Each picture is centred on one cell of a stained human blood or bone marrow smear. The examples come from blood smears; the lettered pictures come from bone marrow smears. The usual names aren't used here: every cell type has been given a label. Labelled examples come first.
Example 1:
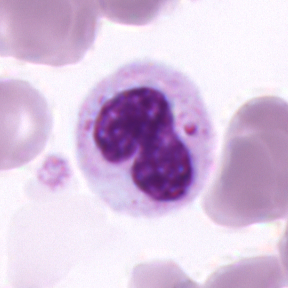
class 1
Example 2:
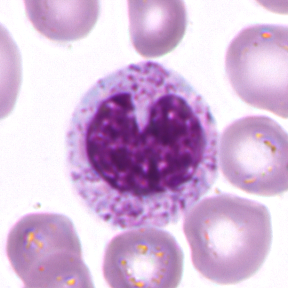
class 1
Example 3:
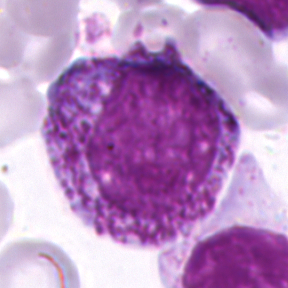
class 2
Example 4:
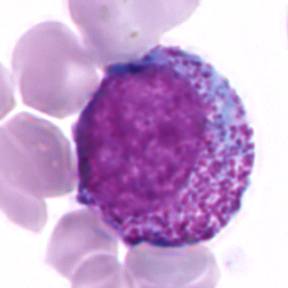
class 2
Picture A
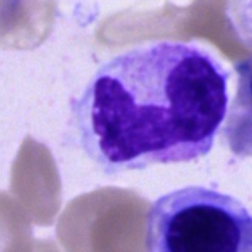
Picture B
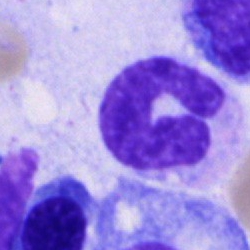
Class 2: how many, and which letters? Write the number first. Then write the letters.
0, none of them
